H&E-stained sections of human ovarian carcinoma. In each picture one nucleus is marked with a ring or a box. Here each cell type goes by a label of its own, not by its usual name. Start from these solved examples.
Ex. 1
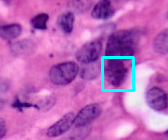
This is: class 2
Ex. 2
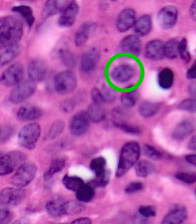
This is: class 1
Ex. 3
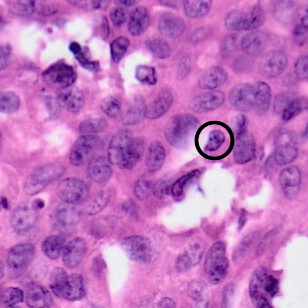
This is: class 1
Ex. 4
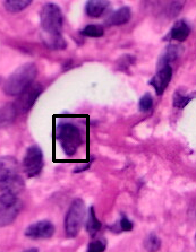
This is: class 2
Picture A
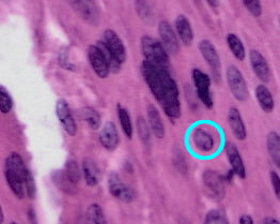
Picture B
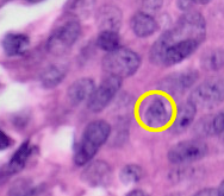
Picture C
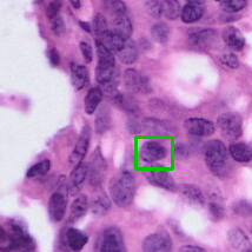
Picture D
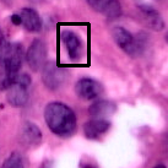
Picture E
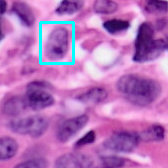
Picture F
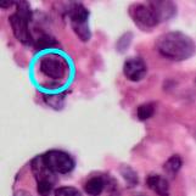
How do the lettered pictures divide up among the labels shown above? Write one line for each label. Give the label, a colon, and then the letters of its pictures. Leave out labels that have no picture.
class 2: C, F
class 1: A, B, D, E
